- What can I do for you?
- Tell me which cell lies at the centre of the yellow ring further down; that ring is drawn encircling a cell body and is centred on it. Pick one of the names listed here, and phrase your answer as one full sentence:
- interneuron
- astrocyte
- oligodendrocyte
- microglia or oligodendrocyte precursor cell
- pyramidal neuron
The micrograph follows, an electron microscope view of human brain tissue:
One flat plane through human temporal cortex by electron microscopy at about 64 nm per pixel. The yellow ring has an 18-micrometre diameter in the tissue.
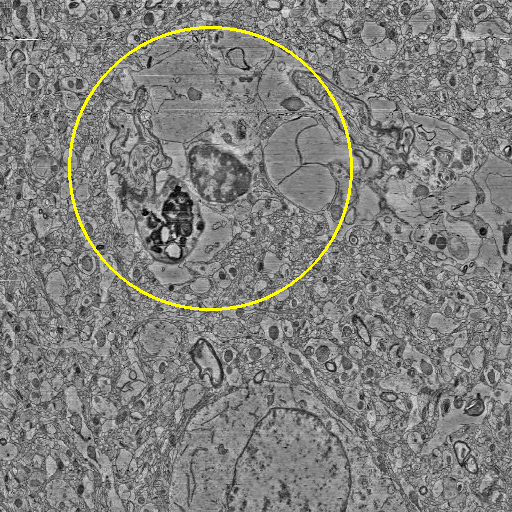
The cell whose body lies at the centre of the yellow ring is a microglial cell or oligodendrocyte precursor cell.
